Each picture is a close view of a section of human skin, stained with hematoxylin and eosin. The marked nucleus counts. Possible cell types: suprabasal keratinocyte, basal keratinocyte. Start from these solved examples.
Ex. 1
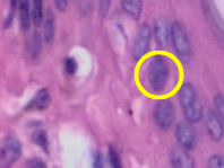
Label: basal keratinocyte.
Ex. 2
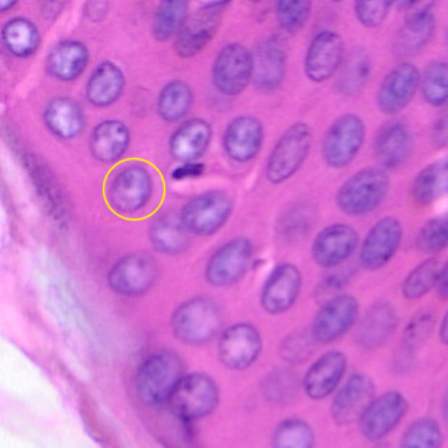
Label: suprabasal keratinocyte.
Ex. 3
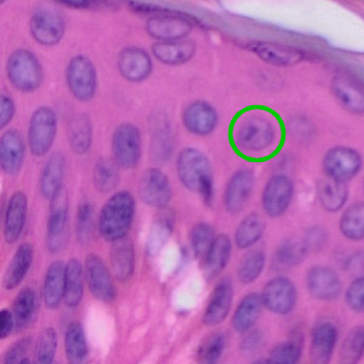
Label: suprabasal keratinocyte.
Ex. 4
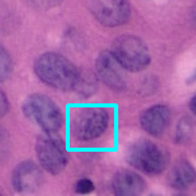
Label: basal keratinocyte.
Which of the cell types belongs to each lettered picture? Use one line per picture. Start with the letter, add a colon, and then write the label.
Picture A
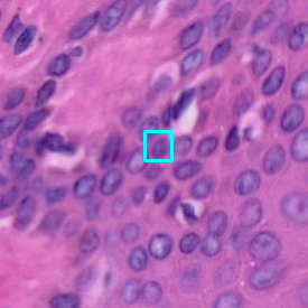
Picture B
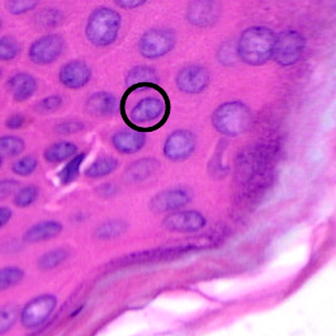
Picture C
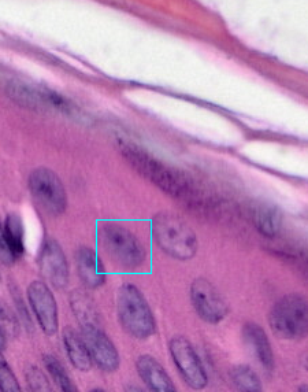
A: basal keratinocyte.
B: suprabasal keratinocyte.
C: suprabasal keratinocyte.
